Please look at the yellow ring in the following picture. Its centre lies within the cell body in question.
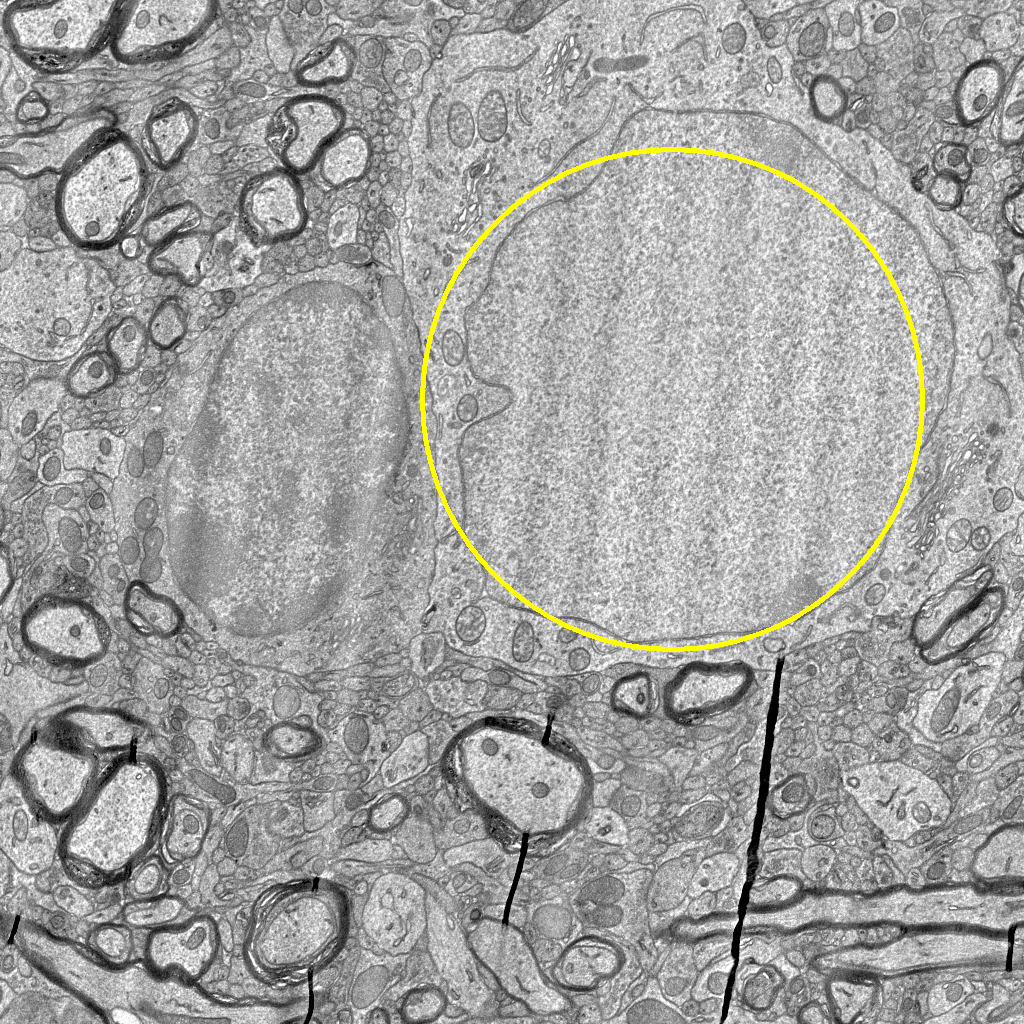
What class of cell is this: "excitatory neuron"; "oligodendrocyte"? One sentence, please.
The centre of the ring lies in the cell body of an excitatory neuron.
